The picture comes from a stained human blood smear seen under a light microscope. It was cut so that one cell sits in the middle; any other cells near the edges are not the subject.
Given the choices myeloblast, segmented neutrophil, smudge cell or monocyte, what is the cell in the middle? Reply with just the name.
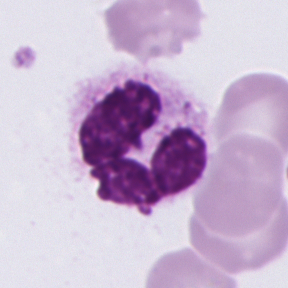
segmented neutrophil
